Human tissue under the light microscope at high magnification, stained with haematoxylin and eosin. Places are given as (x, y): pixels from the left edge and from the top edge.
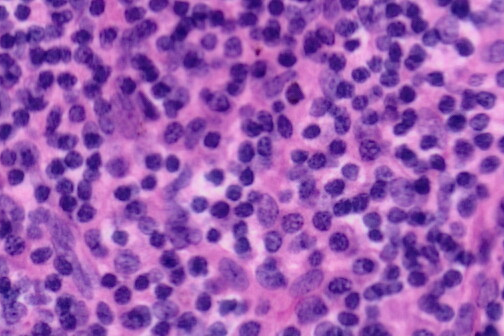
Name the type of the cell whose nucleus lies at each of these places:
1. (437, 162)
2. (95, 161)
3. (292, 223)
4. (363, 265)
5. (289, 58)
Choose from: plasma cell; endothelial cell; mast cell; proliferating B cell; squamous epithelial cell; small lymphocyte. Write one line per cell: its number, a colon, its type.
1: small lymphocyte
2: small lymphocyte
3: plasma cell
4: plasma cell
5: small lymphocyte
